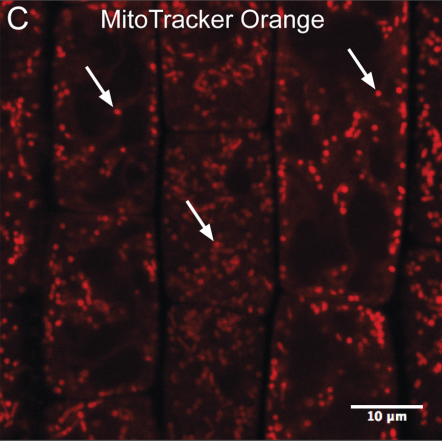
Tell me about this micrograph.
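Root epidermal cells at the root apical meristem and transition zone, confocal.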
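Some lie singly, others cluster or line up into short chains, and they are more densely packed in some cells than others. Faint red haze outlines the cells, and the cell borders show as thin dark lines arranged in longitudinal files.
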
